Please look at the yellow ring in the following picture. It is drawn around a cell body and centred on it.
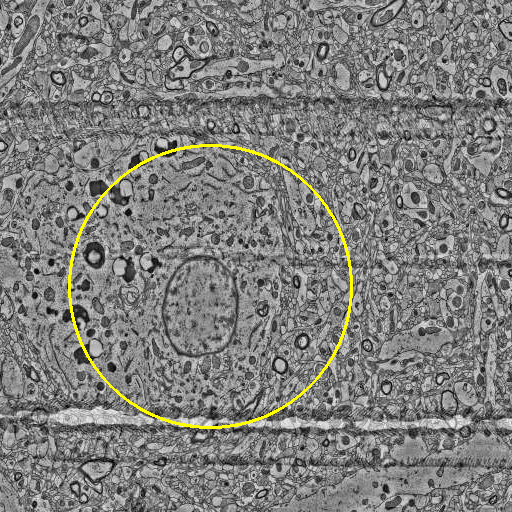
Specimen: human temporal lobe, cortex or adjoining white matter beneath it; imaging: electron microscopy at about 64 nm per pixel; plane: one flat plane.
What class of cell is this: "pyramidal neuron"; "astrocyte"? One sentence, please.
The ring surrounds the cell body of a pyramidal neuron.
